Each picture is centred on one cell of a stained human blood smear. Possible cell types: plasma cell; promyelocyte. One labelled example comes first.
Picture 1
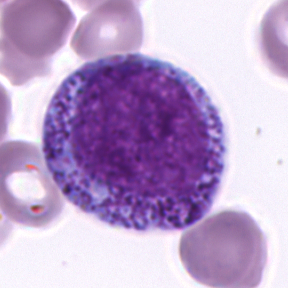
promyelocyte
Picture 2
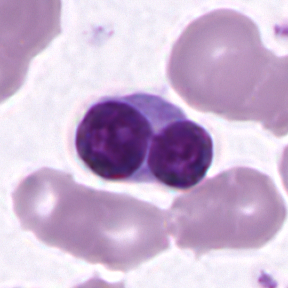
plasma cell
